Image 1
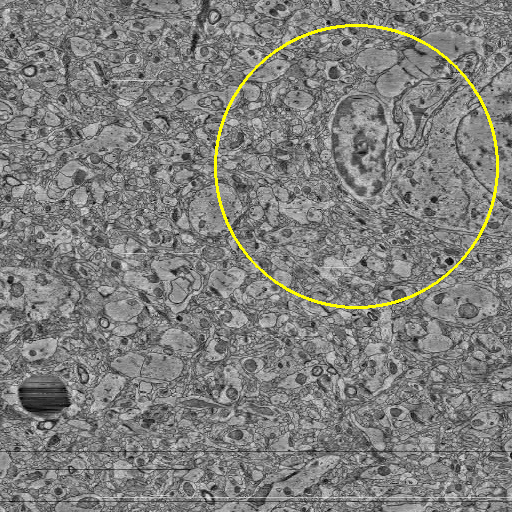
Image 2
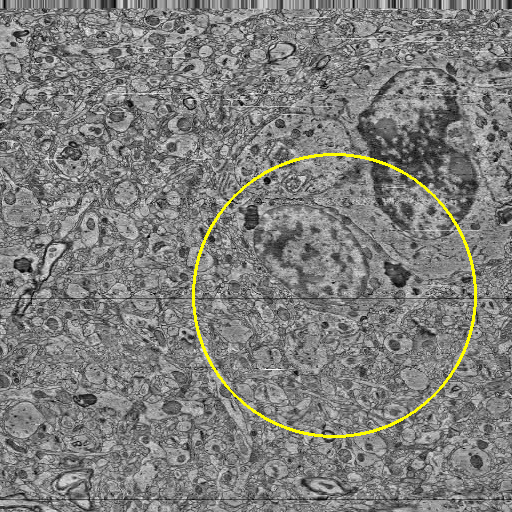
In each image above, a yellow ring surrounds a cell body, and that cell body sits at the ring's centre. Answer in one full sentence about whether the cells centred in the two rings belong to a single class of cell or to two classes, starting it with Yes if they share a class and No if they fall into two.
No, the cells centred in the two yellow rings belong to two classes of cell.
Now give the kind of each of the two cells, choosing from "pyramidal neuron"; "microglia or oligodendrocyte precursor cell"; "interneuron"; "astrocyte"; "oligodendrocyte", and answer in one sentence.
The cell in the first picture is a microglial cell or oligodendrocyte precursor cell, and the cell in the second is an oligodendrocyte.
